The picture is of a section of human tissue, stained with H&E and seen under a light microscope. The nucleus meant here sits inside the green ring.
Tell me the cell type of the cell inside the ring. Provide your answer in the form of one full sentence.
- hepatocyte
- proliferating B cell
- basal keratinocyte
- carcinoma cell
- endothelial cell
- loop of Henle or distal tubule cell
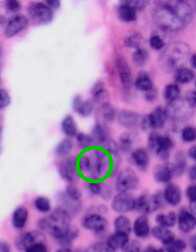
In cellular terms, the cell inside the ring is a proliferating B cell.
